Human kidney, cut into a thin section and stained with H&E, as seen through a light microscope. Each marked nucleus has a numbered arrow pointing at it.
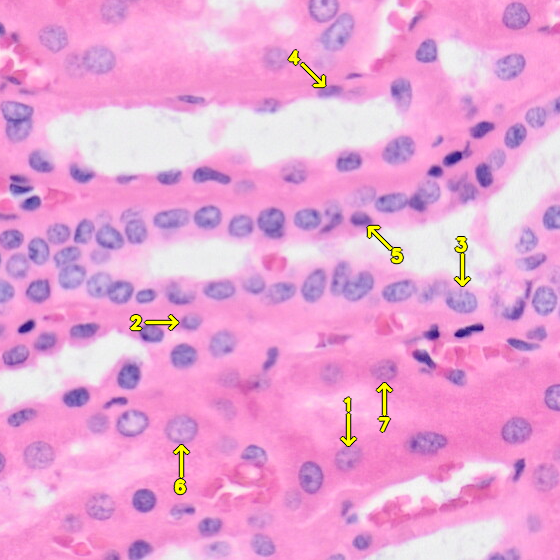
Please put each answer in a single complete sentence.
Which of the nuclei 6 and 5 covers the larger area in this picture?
The larger nucleus is 6, at roughly 2.5 times the area of 5.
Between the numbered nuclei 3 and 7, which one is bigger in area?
The larger nucleus is 3, at roughly 1.5 times the area of 7.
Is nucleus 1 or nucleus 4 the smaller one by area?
Nucleus 4 covers less area, with nucleus 1 about 2 times as large.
